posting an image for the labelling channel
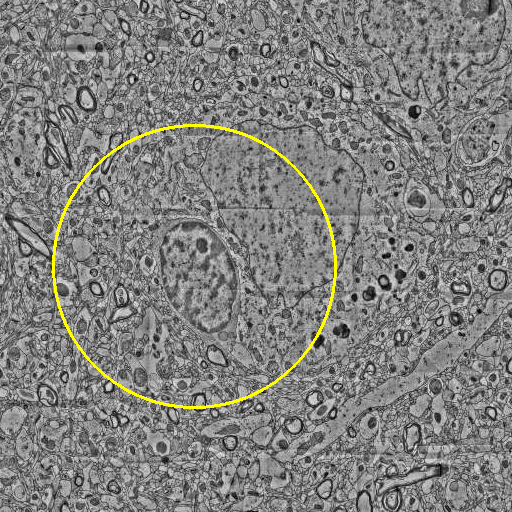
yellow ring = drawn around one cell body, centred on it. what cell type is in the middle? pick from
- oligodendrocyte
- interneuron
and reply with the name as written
oligodendrocyte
